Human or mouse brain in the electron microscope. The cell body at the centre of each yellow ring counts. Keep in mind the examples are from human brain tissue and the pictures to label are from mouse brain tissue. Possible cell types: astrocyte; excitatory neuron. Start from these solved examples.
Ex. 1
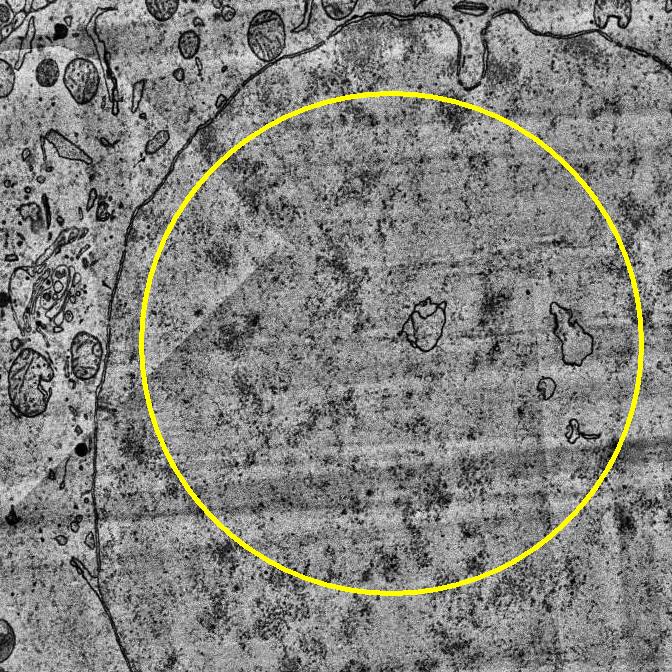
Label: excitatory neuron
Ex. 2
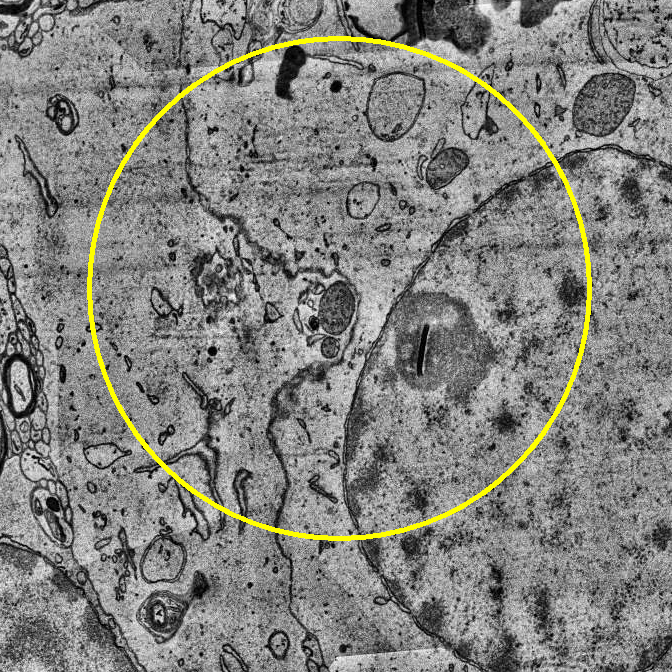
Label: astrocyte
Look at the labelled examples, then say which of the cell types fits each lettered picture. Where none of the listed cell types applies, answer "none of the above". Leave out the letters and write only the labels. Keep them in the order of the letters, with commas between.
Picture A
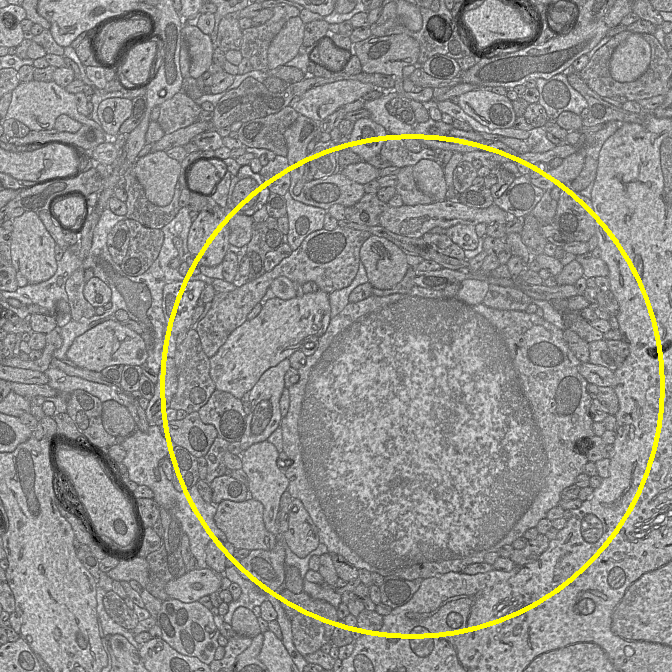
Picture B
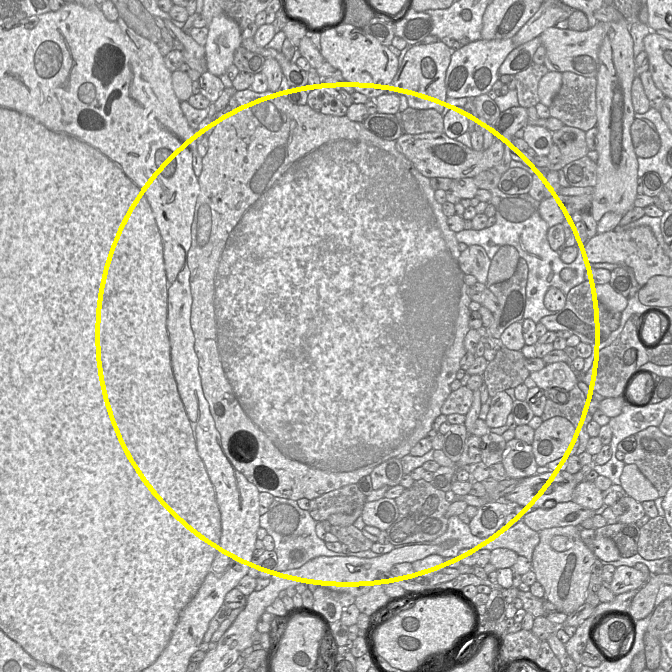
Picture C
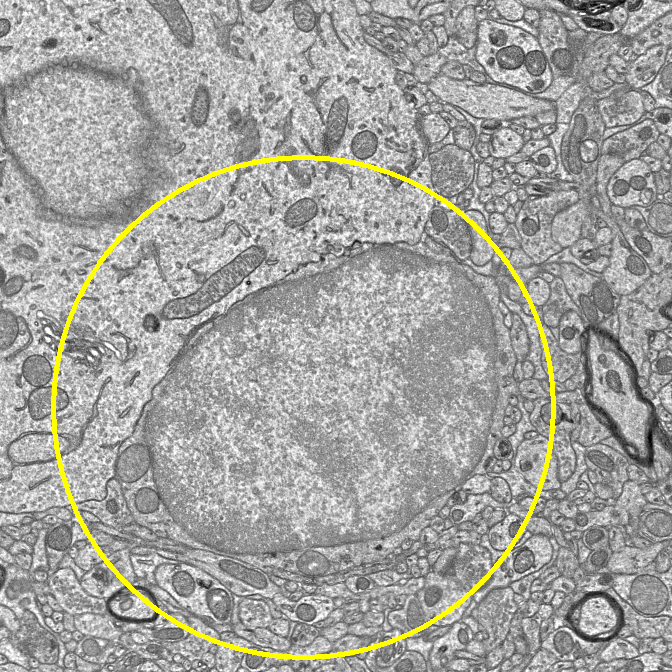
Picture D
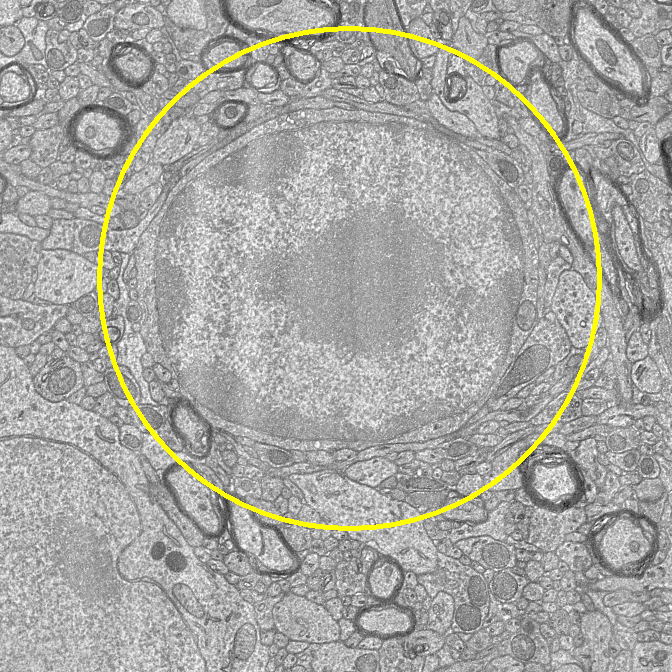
none of the above, none of the above, none of the above, none of the above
